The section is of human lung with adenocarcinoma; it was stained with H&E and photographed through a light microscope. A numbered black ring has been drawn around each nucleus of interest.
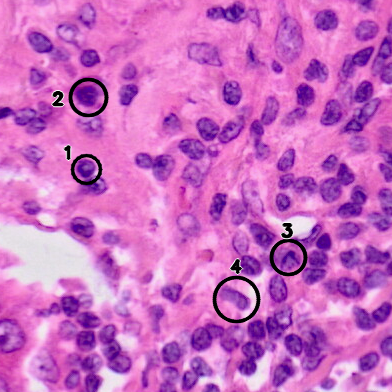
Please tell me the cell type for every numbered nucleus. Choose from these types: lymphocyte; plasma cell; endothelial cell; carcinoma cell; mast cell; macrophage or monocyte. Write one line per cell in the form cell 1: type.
cell 1: lymphocyte
cell 2: plasma cell
cell 3: lymphocyte
cell 4: lymphocyte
